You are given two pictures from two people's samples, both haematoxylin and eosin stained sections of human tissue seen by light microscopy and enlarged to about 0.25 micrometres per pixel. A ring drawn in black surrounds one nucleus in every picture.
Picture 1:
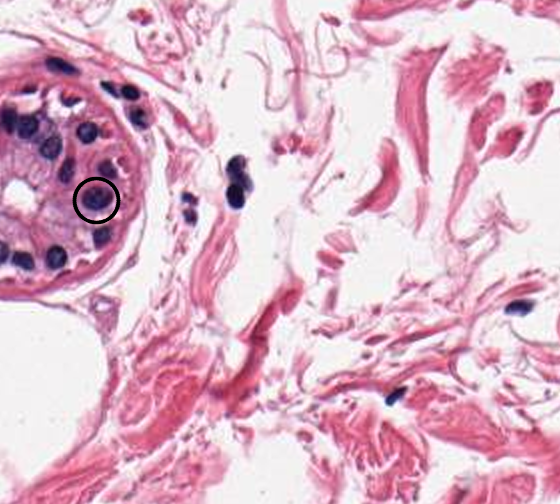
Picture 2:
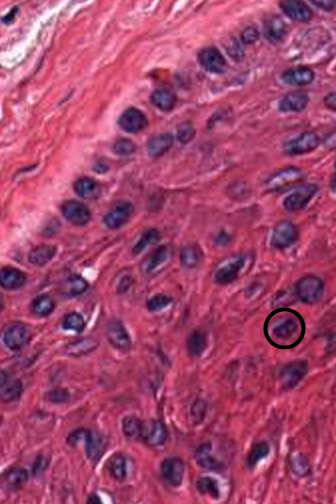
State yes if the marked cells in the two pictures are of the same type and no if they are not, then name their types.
No, the first is a sweat gland cell and the second a keratinocyte.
